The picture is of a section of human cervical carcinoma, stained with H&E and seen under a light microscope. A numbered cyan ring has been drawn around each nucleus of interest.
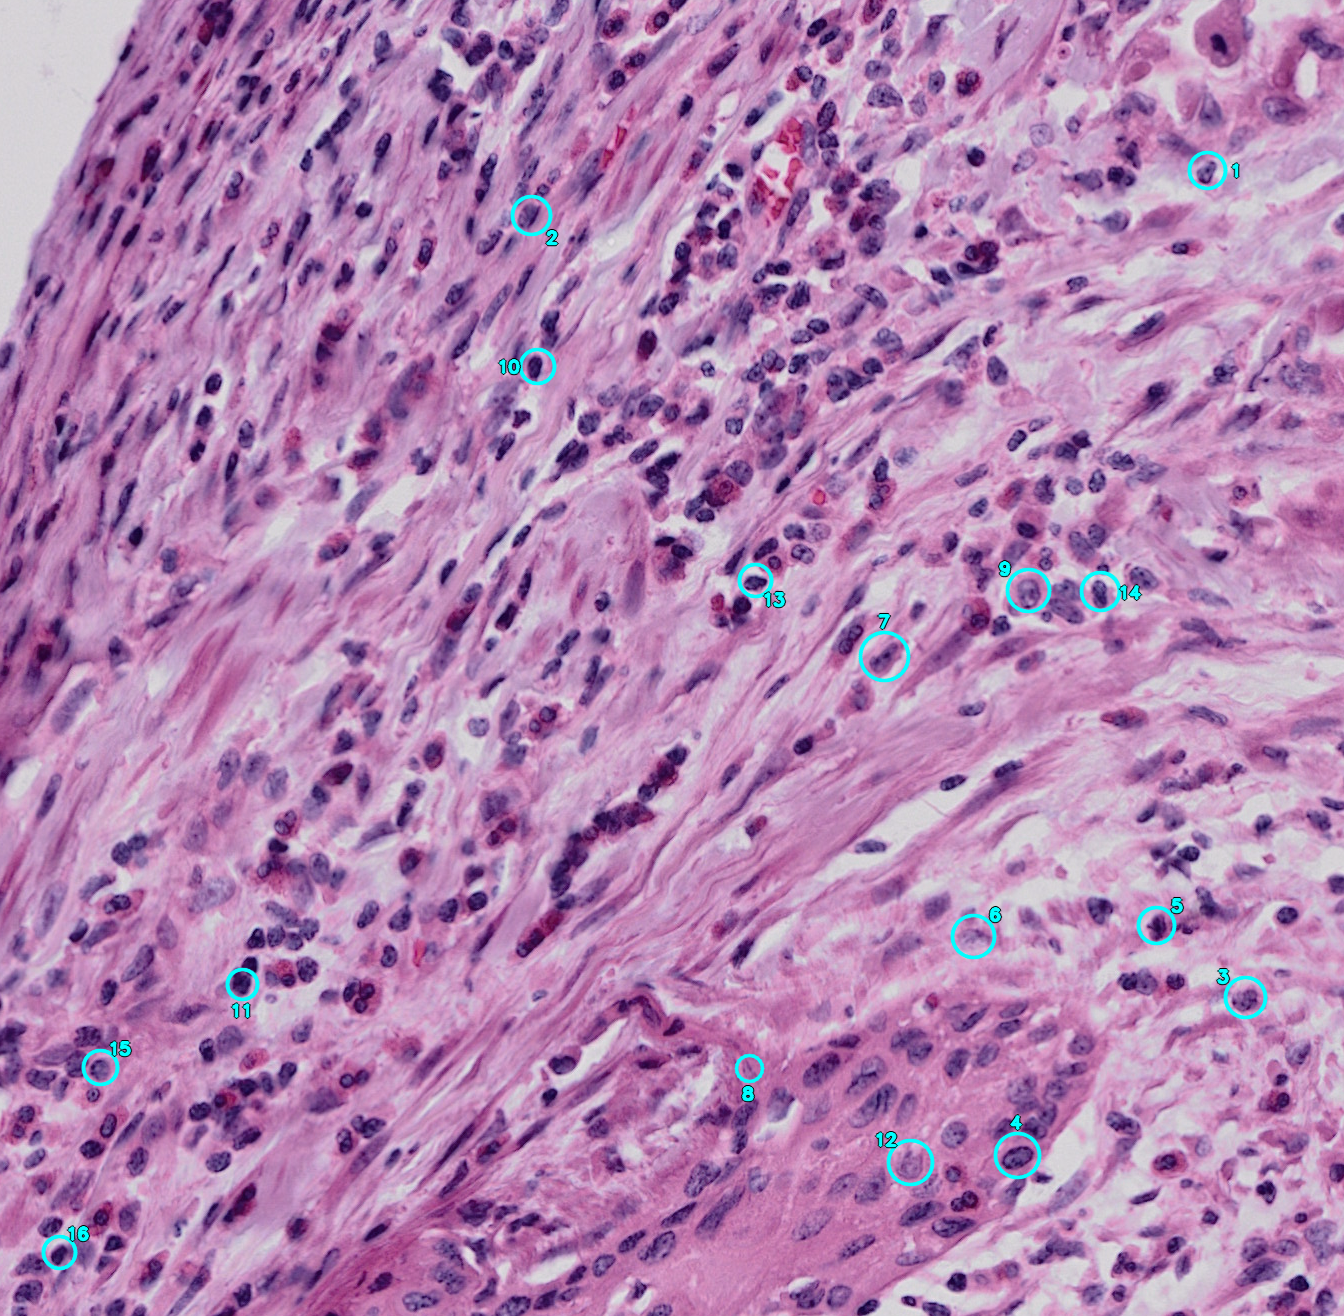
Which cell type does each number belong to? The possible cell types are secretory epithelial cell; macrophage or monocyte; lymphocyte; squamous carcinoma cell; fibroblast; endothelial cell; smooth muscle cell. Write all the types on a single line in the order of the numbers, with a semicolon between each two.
lymphocyte; lymphocyte; macrophage or monocyte; squamous carcinoma cell; lymphocyte; fibroblast; macrophage or monocyte; squamous carcinoma cell; macrophage or monocyte; lymphocyte; lymphocyte; squamous carcinoma cell; lymphocyte; lymphocyte; lymphocyte; lymphocyte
